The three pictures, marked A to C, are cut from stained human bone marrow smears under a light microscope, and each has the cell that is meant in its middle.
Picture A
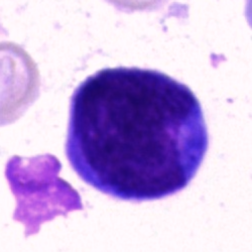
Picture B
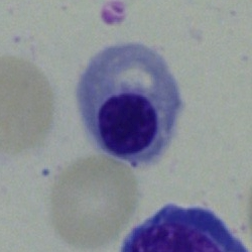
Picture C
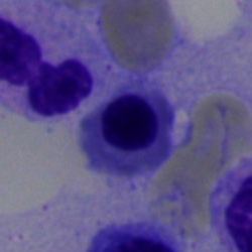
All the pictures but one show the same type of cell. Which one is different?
A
